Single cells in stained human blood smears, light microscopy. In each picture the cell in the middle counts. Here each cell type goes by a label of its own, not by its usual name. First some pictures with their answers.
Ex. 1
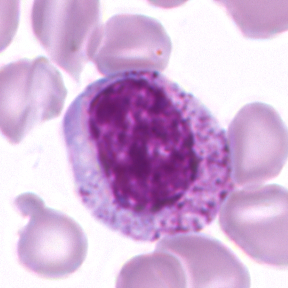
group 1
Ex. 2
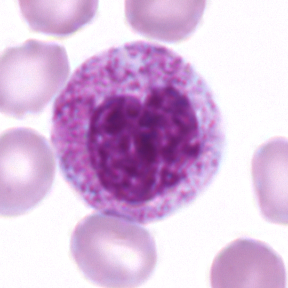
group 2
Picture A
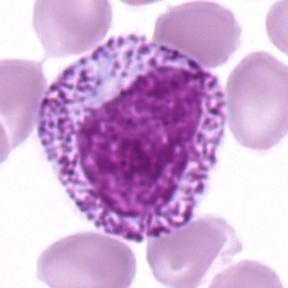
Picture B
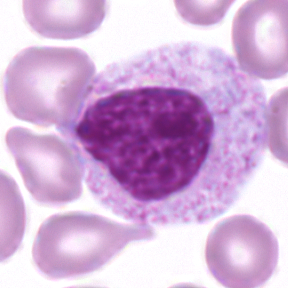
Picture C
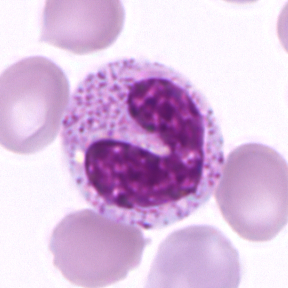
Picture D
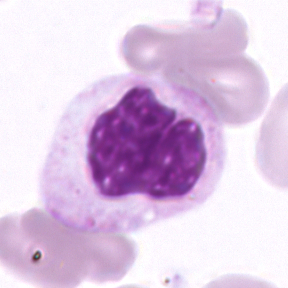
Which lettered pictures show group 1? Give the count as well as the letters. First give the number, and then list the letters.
2, namely A, B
